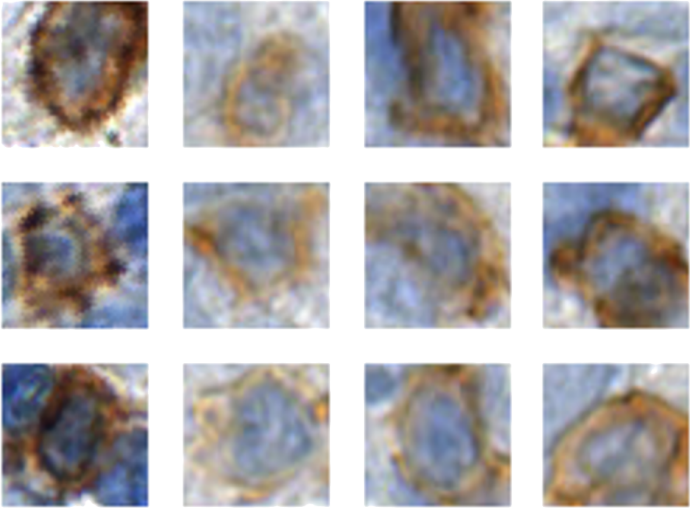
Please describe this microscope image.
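This grid of small square crops is each centred on a single cell, with a pale blue, roughly oval nucleus in the middle. Around each cell runs a brown rim at its border, outlining the cell as a ring or polygon. The rim varies from thick and dark brown to thin and pale tan between crops. The cells differ in shape, some rounded and others angular, and neighbouring cells' brown borders can be seen at the edges of some crops.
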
